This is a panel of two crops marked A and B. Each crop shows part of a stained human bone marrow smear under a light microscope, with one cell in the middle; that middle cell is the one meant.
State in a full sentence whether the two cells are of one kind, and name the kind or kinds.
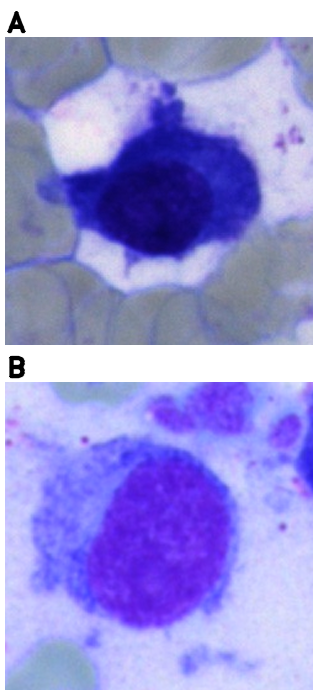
No, crop A represents a plasma cell, and crop B represents a hairy cell.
